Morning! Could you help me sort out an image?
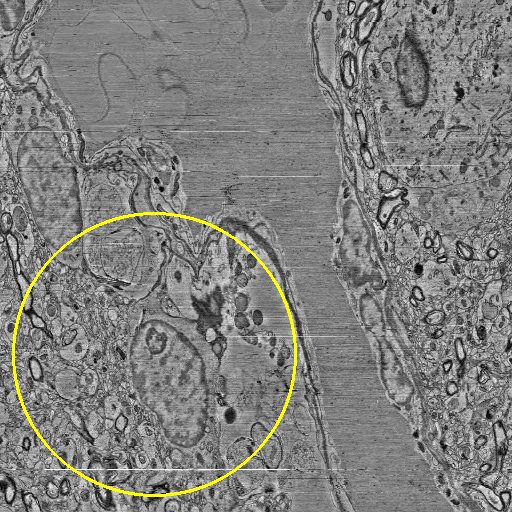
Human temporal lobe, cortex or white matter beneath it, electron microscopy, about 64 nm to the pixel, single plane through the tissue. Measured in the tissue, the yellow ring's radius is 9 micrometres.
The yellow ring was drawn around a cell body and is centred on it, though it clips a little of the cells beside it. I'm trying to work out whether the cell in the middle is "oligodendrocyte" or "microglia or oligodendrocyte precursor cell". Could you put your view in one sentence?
The ringed cell body is that of an oligodendrocyte.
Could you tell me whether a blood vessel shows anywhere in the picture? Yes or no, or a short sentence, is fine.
Yes.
